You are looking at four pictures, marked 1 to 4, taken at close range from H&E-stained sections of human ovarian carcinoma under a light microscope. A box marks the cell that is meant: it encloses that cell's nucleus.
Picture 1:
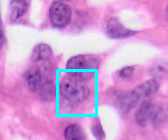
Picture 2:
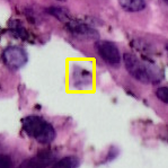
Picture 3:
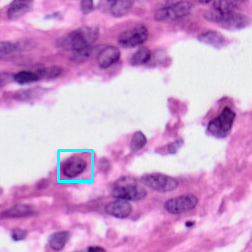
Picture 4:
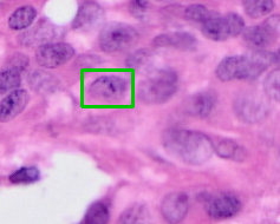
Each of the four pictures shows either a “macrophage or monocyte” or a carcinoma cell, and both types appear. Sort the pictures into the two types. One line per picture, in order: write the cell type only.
carcinoma cell
macrophage or monocyte
macrophage or monocyte
macrophage or monocyte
